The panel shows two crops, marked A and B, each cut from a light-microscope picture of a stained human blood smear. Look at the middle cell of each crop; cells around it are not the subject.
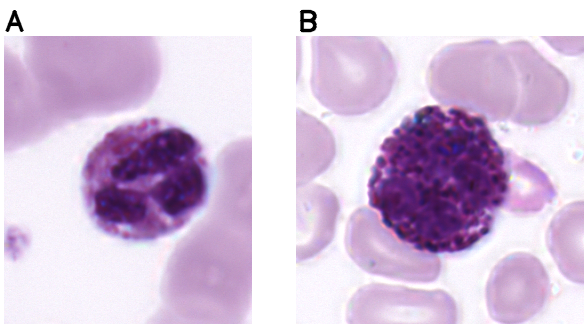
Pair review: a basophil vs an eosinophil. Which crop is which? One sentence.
The cell at the centre of crop A is an eosinophil, and at the centre of crop B, a basophil.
